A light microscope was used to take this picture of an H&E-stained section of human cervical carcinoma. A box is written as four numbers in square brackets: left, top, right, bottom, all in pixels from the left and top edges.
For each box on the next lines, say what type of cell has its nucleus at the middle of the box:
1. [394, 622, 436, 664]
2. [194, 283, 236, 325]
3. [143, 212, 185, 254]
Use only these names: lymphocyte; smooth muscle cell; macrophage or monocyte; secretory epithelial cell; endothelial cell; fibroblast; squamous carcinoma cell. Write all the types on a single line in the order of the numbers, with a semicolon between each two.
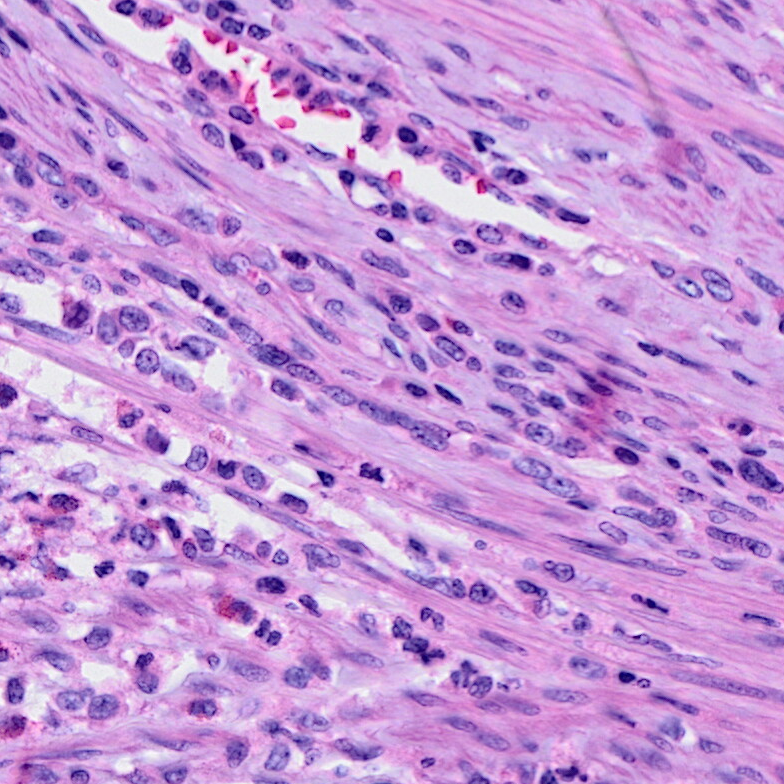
lymphocyte; lymphocyte; endothelial cell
